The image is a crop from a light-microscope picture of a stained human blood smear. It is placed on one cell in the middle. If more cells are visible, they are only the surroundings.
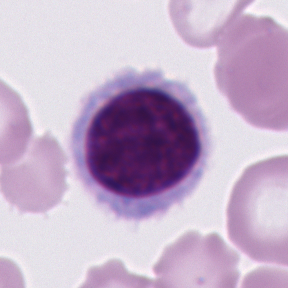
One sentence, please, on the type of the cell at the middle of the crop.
Where the crop is centred, there is a hairy cell.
